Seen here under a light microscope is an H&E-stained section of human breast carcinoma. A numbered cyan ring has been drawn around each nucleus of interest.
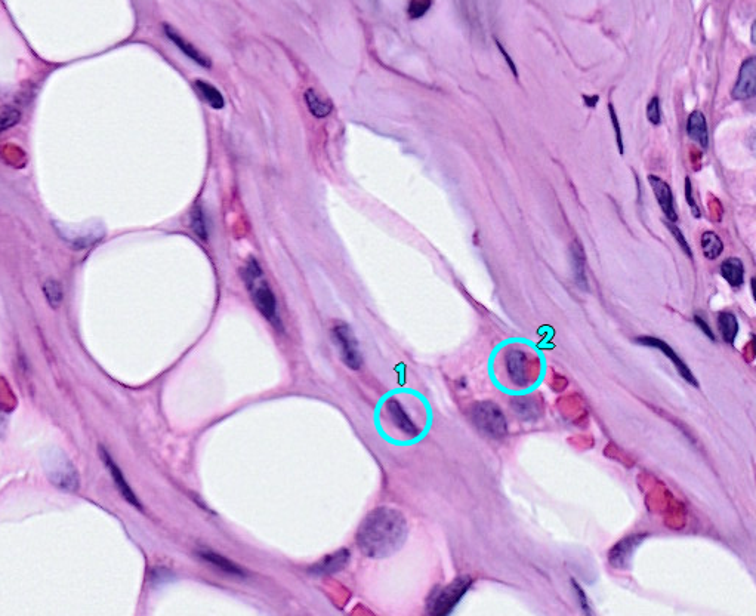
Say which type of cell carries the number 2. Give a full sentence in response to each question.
The numeral 2 marks an endothelial cell in this section.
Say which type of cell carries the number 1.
Cell 1, among those numbered, is a fibroblast.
